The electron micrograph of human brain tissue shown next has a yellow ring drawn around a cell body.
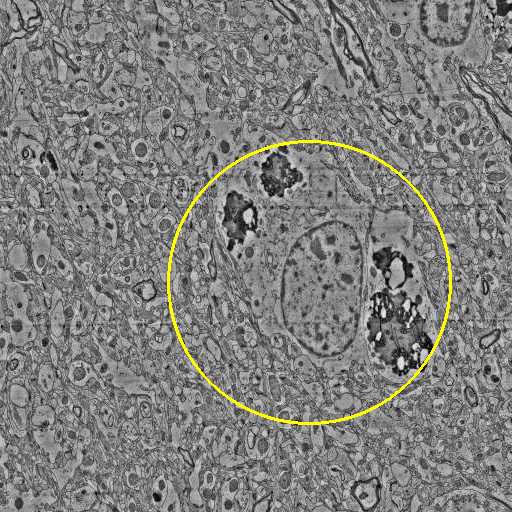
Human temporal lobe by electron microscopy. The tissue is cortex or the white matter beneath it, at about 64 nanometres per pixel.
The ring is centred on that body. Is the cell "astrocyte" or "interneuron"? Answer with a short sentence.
The cell in question is an astrocyte.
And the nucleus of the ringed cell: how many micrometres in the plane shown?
In this plane, about 9 by 5 micrometres: the nucleus is clearly longer than it is wide.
